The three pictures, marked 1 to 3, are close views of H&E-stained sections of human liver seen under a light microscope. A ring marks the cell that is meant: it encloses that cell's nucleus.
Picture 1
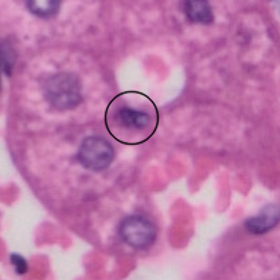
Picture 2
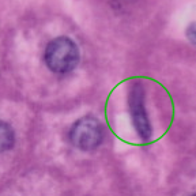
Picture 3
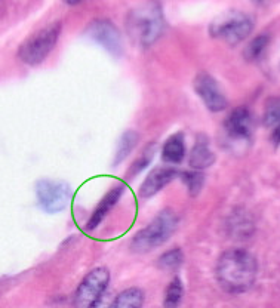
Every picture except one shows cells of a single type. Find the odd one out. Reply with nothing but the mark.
2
